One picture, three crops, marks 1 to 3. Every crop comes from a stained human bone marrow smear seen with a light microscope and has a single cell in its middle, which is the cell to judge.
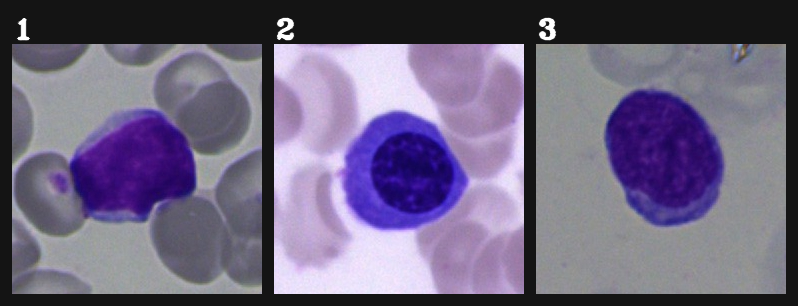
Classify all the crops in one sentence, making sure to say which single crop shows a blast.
The middle of crop 3 holds a blast, while crop 1 is a lymphocyte and crop 2 is a normoblast.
